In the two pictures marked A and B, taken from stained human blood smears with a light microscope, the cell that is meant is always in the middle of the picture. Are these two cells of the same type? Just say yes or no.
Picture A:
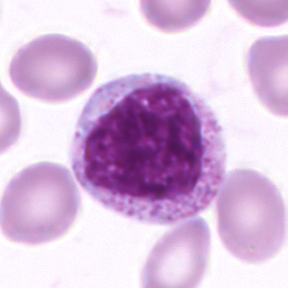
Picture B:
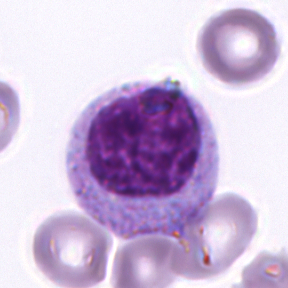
yes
